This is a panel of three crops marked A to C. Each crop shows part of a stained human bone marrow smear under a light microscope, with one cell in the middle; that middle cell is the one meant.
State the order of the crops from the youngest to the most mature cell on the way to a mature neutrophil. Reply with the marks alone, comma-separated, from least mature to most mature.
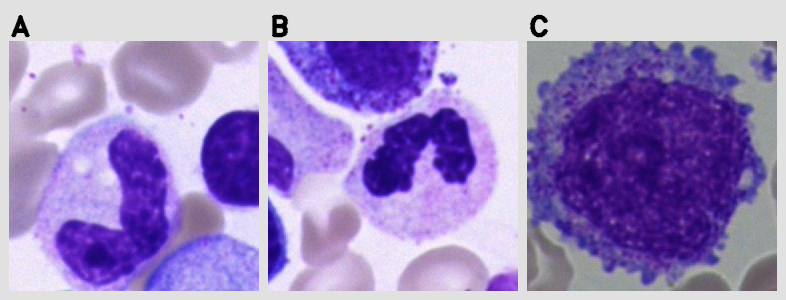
C, A, B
